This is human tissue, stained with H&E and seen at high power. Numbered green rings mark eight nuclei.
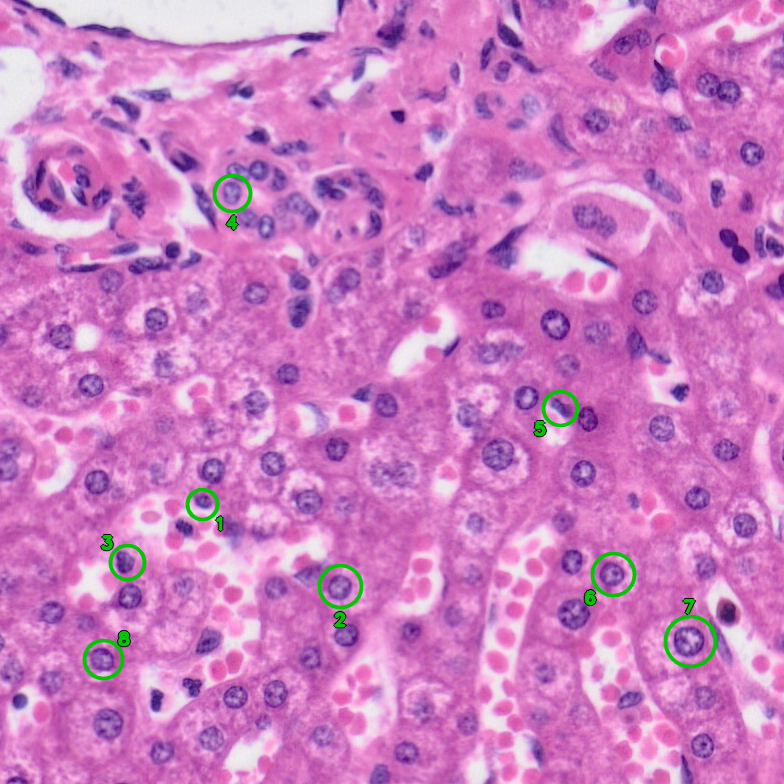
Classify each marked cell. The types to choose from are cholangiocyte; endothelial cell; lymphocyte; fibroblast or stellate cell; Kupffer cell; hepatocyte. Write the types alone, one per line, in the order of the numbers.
fibroblast or stellate cell
hepatocyte
fibroblast or stellate cell
cholangiocyte
endothelial cell
hepatocyte
hepatocyte
hepatocyte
